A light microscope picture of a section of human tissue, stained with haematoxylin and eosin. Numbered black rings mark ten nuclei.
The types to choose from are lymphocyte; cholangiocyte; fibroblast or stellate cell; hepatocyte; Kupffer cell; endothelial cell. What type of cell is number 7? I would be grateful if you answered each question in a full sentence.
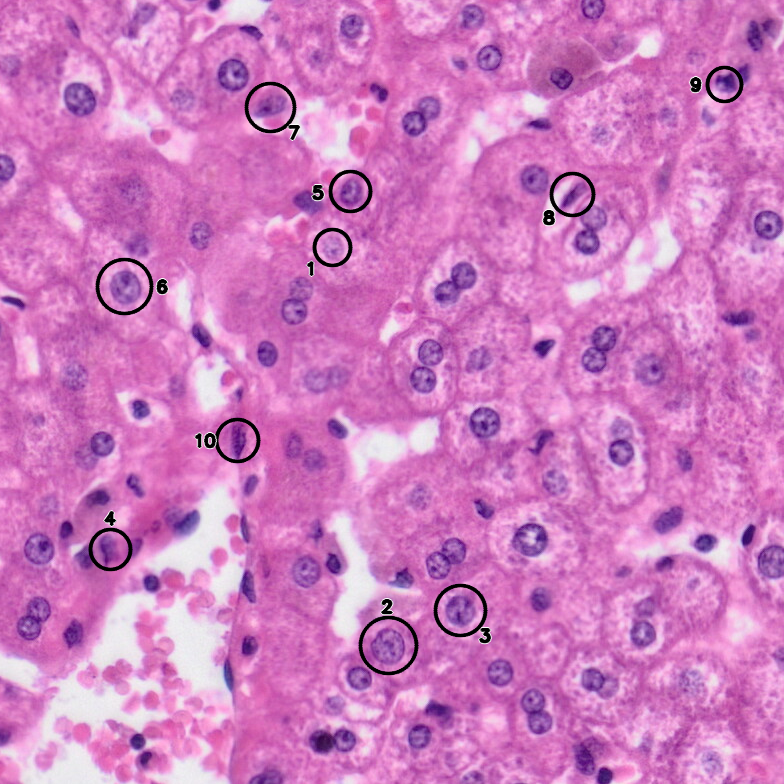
The marked cell bearing number 7 is a Kupffer cell.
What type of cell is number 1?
Belonging to a hepatocyte is the nucleus that carries the number 1.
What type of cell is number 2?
The cell identified by the number 2 is a hepatocyte.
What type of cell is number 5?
Cell 5, as marked in the section, is a hepatocyte.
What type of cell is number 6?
The cell identified by number 6 is a hepatocyte.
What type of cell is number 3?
Recognised here as a hepatocyte is the cell numbered 3.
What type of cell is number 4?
Number 4 is placed on a fibroblast or stellate cell here.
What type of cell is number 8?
To a Kupffer cell belongs the nucleus marked 8.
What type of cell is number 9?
The correct label for cell 9 is a fibroblast or stellate cell.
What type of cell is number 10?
The cell pointed out as number 10 is a fibroblast or stellate cell.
